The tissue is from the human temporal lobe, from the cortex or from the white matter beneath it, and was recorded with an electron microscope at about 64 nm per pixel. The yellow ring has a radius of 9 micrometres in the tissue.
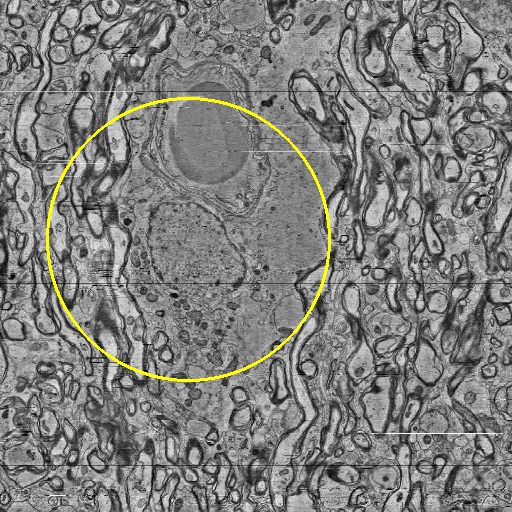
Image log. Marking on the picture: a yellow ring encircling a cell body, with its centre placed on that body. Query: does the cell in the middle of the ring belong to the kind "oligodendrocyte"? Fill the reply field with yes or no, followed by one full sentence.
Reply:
No, the cell at the centre of the yellow ring in this picture belongs to a different kind.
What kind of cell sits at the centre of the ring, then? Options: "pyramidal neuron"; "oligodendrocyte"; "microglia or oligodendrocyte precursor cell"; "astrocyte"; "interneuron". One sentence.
The cell shown in the ring is an astrocyte.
